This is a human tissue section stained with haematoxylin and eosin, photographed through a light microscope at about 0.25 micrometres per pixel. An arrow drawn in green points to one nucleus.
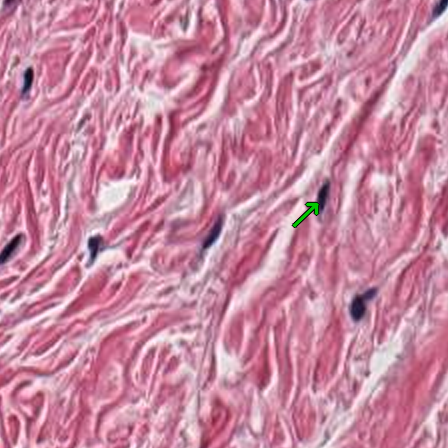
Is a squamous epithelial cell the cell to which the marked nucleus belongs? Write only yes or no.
no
